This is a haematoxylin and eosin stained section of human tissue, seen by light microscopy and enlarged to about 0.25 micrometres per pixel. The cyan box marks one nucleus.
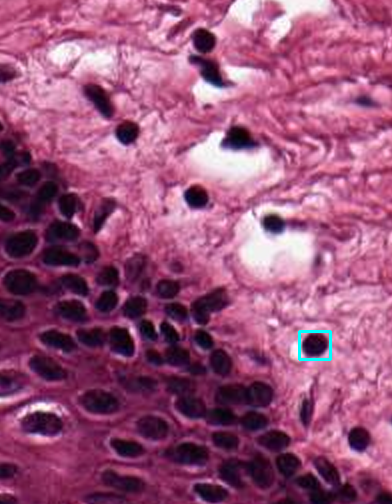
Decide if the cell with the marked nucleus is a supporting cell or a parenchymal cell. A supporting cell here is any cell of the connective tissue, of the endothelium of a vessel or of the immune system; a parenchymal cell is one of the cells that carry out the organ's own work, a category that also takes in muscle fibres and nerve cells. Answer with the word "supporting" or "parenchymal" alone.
supporting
